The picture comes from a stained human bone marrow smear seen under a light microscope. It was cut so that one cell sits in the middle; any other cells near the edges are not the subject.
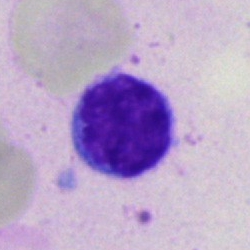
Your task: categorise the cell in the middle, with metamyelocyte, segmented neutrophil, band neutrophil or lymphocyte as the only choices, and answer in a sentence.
Located at the centre of the crop is a lymphocyte.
